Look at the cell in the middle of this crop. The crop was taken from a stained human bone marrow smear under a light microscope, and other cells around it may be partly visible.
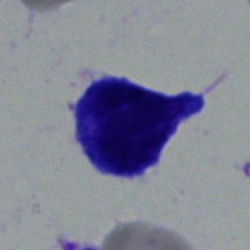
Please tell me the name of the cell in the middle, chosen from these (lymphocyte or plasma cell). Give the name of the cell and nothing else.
lymphocyte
